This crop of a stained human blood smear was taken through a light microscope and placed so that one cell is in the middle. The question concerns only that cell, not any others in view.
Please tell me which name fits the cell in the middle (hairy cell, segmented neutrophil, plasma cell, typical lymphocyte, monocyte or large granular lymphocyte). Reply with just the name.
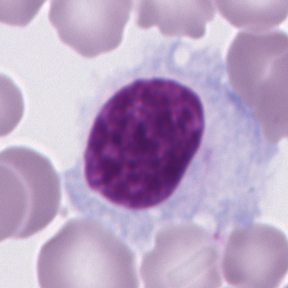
hairy cell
